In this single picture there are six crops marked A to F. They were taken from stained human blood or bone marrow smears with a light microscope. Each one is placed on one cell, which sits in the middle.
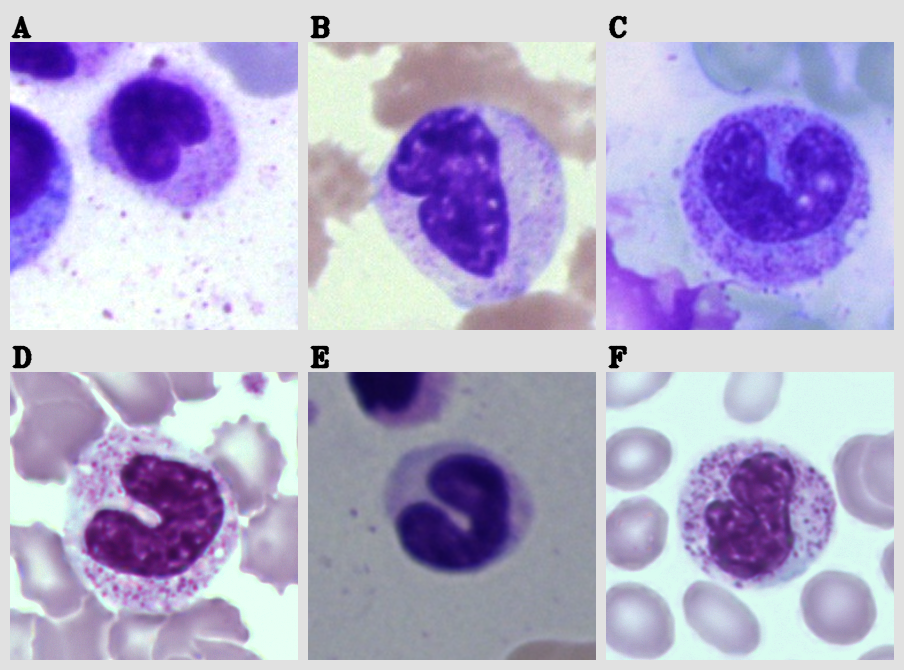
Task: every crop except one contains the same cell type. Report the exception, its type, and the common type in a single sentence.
The outlier here is crop B, which is a metamyelocyte, while the remainder show band neutrophils.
